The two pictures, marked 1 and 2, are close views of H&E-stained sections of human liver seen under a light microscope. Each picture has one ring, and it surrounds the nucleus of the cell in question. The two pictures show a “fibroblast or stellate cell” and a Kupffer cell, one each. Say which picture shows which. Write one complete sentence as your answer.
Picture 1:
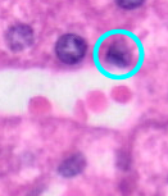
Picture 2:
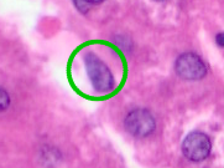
The cell in picture 1 is a “fibroblast or stellate cell”, and the one in picture 2 is a Kupffer cell.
